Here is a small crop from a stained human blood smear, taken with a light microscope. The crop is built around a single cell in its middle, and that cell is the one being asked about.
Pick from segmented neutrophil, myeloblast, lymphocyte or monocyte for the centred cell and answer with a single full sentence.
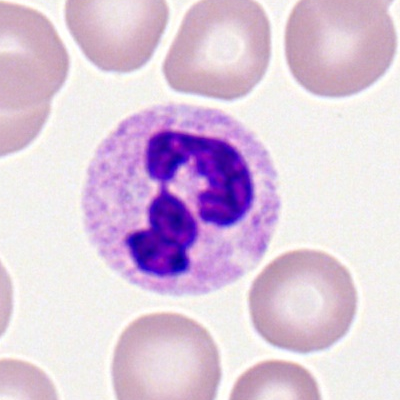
Where the crop is centred, there is a segmented neutrophil.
